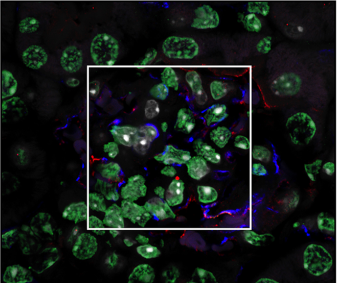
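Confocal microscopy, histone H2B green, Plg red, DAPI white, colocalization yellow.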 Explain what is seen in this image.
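The nuclei are green and granular, and many in the central group contain bright white spots. Red dots and short red streaks run alongside the blue lines, partly overlapping them. The surrounding tissue shows rounded green nuclei in a dark background.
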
